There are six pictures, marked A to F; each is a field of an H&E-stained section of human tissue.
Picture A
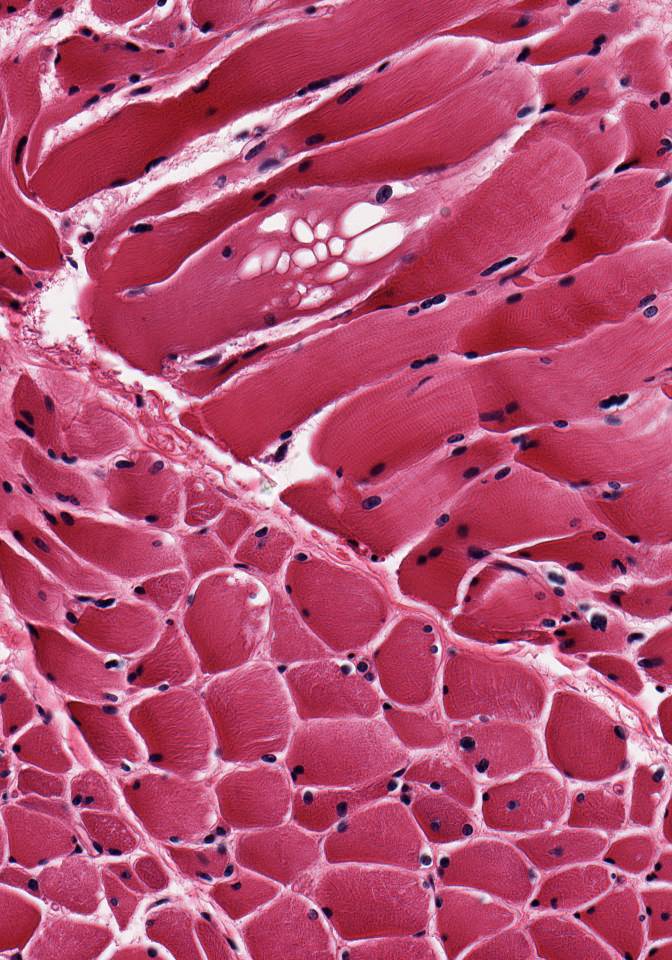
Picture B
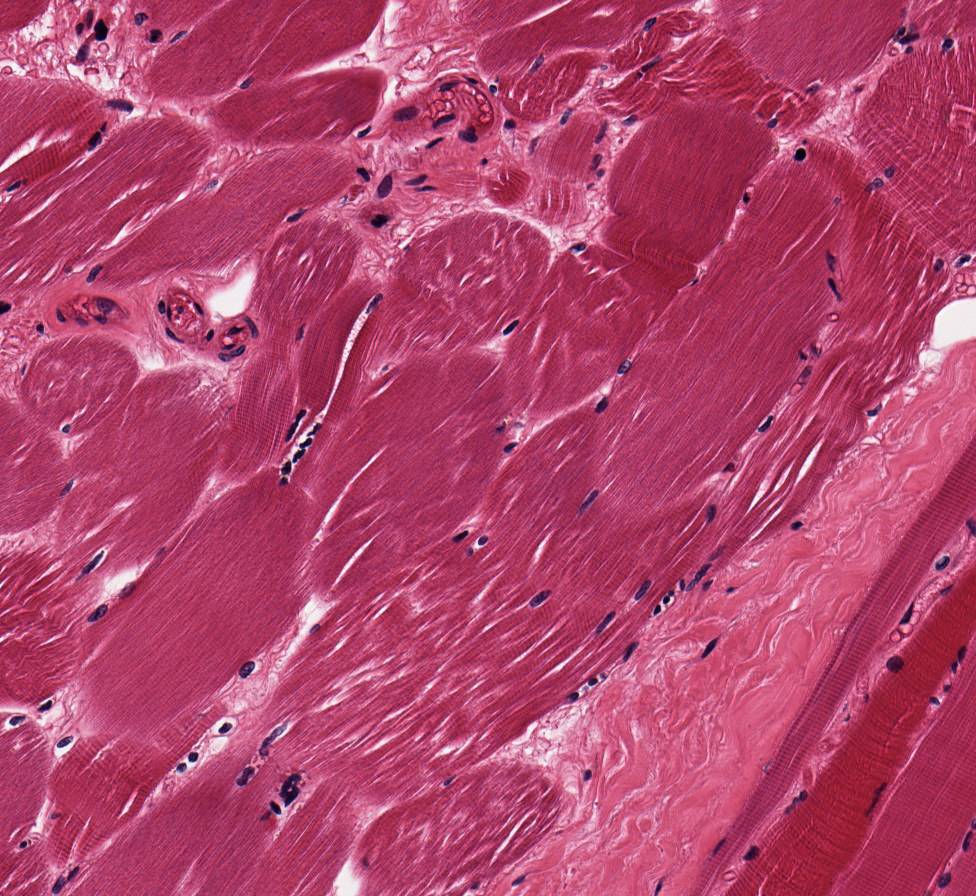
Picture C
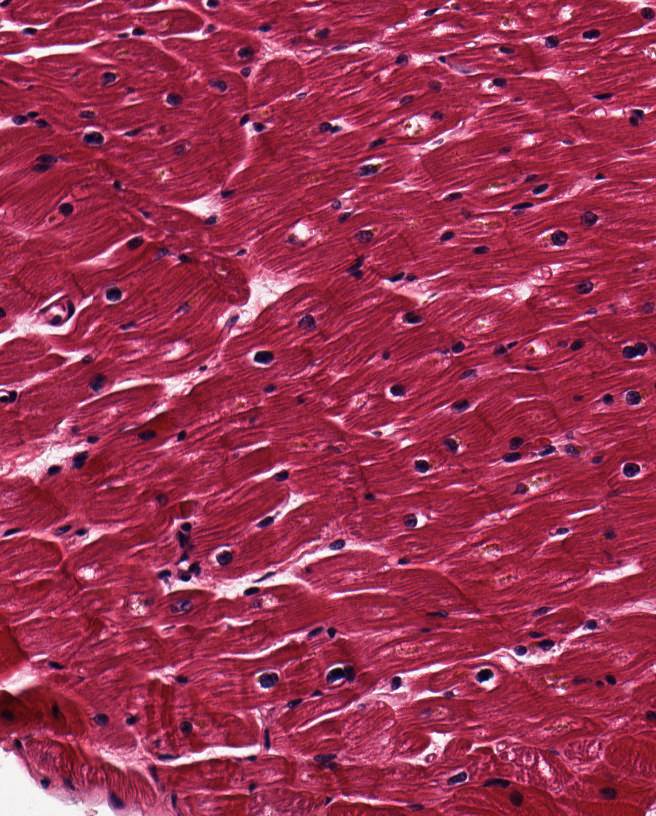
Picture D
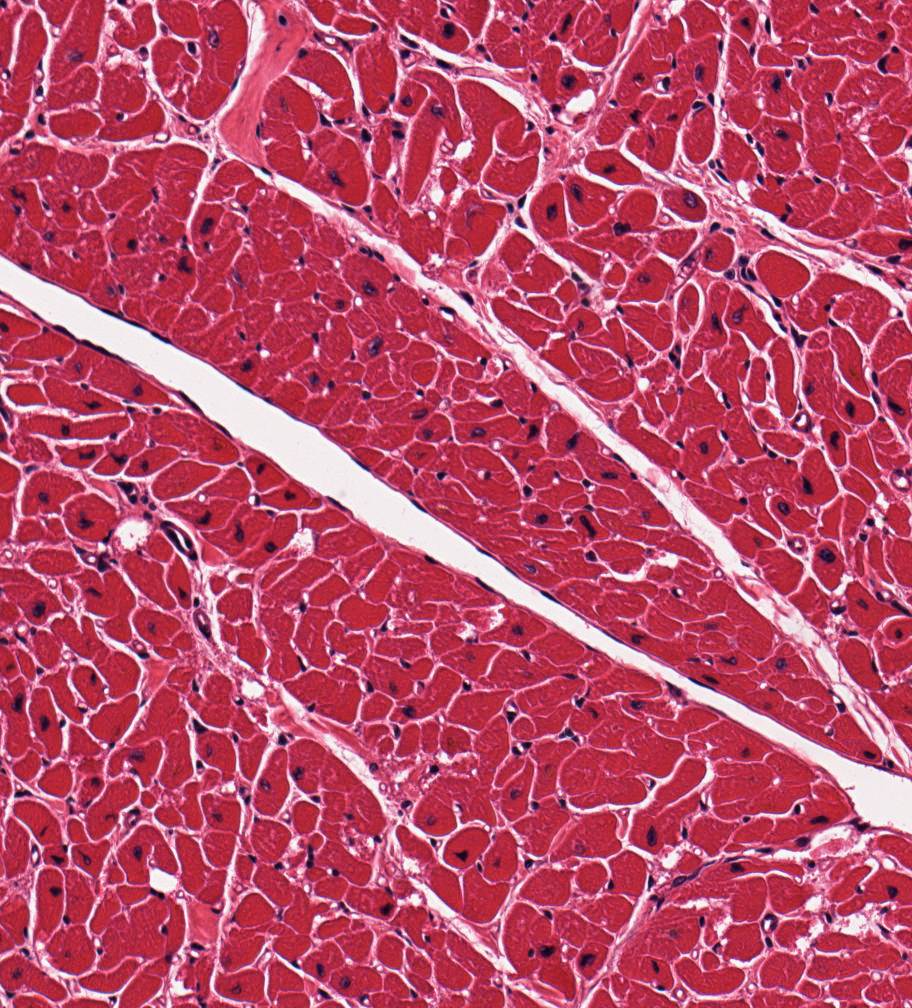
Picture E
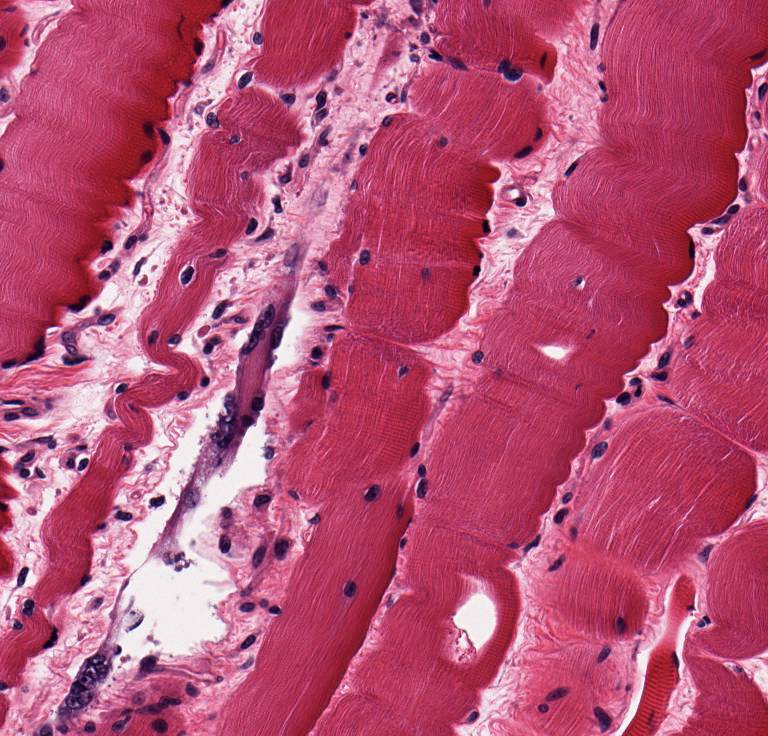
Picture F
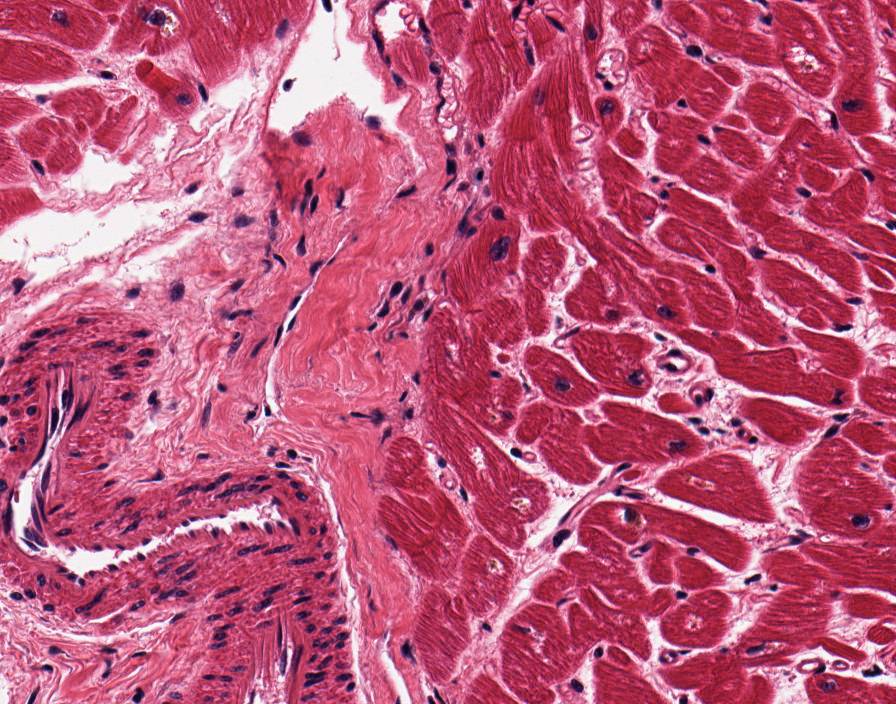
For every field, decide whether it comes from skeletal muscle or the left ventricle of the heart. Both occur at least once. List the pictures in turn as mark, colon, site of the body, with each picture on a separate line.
A: skeletal muscle
B: skeletal muscle
C: left ventricle of the heart
D: left ventricle of the heart
E: skeletal muscle
F: left ventricle of the heart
